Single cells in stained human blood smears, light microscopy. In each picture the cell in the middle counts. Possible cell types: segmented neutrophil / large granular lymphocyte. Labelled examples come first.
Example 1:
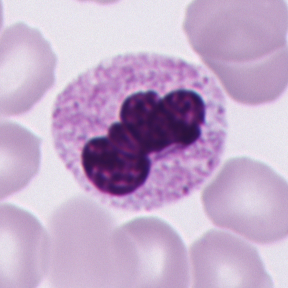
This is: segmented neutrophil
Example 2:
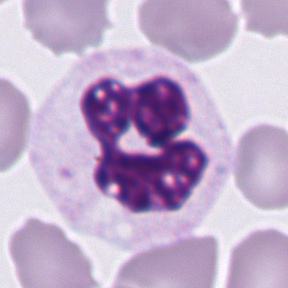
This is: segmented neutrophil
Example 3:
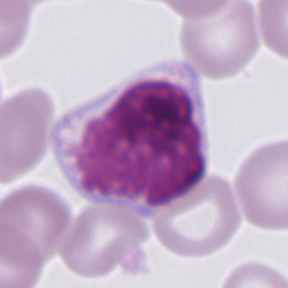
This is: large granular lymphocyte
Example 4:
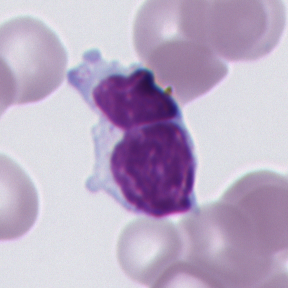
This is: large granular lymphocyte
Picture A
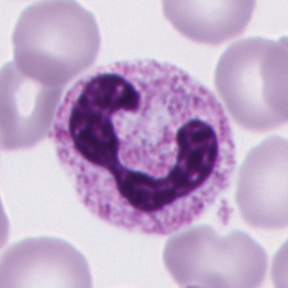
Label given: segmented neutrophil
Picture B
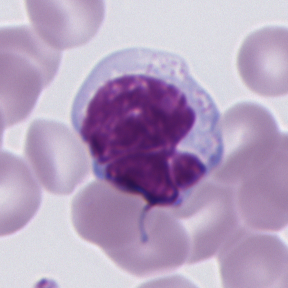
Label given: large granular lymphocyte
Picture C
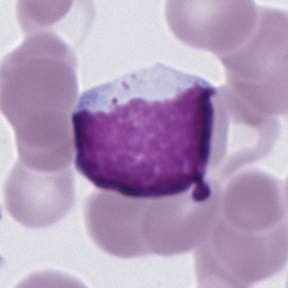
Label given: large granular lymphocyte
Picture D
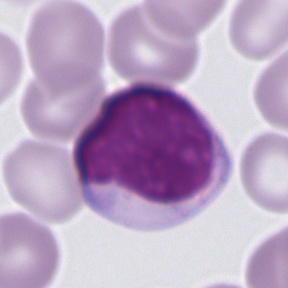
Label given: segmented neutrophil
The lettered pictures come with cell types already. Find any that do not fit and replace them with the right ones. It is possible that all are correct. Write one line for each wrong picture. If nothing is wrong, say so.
Wrong: D (segmented neutrophil); correct: large granular lymphocyte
